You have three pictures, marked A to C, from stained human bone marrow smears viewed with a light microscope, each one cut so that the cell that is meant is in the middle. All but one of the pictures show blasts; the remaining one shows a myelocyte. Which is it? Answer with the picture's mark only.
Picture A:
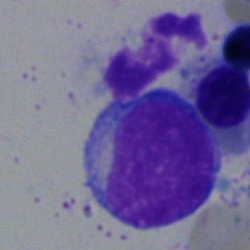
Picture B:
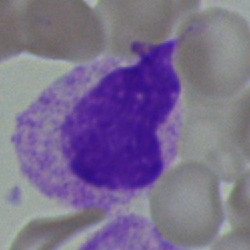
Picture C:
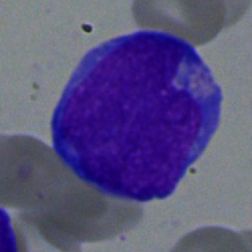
B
